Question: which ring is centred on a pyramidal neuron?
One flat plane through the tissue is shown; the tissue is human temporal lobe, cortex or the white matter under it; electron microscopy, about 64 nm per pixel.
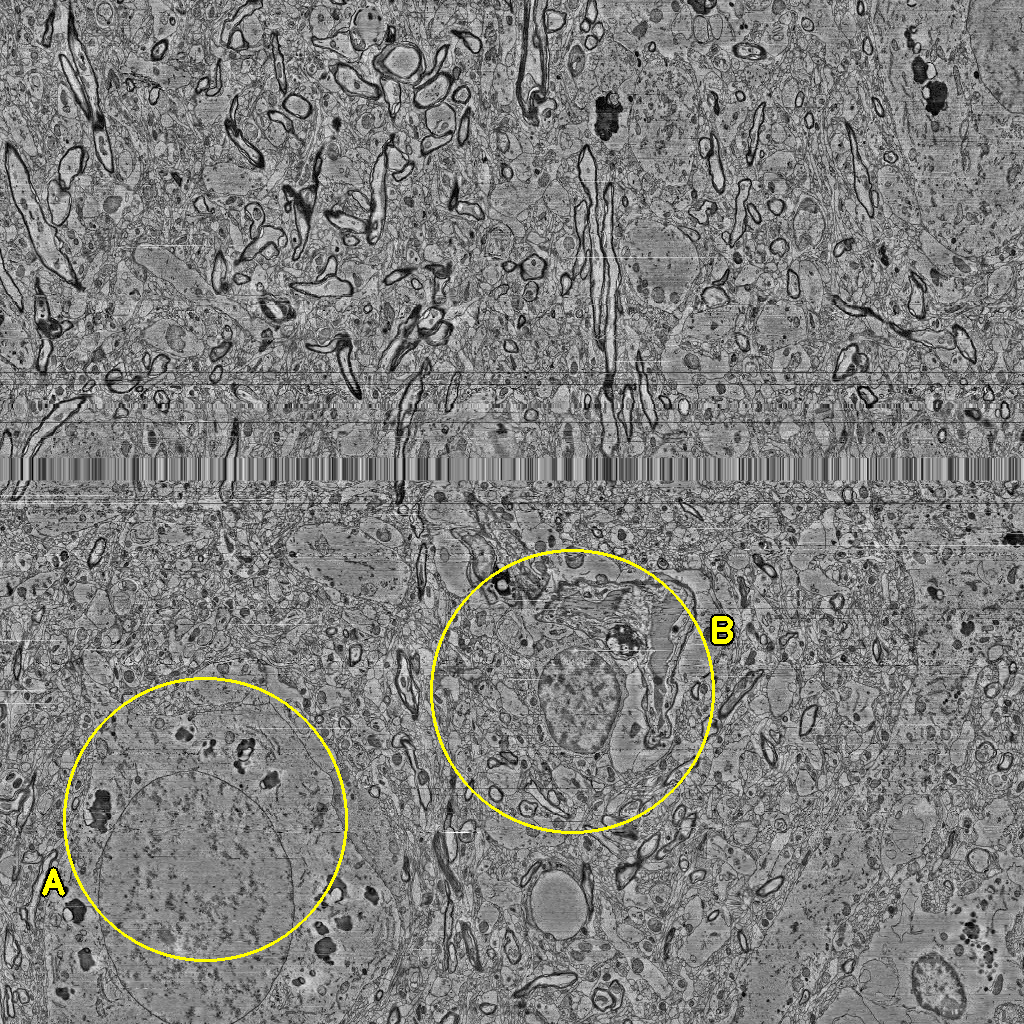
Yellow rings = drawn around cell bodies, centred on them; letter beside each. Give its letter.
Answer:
A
